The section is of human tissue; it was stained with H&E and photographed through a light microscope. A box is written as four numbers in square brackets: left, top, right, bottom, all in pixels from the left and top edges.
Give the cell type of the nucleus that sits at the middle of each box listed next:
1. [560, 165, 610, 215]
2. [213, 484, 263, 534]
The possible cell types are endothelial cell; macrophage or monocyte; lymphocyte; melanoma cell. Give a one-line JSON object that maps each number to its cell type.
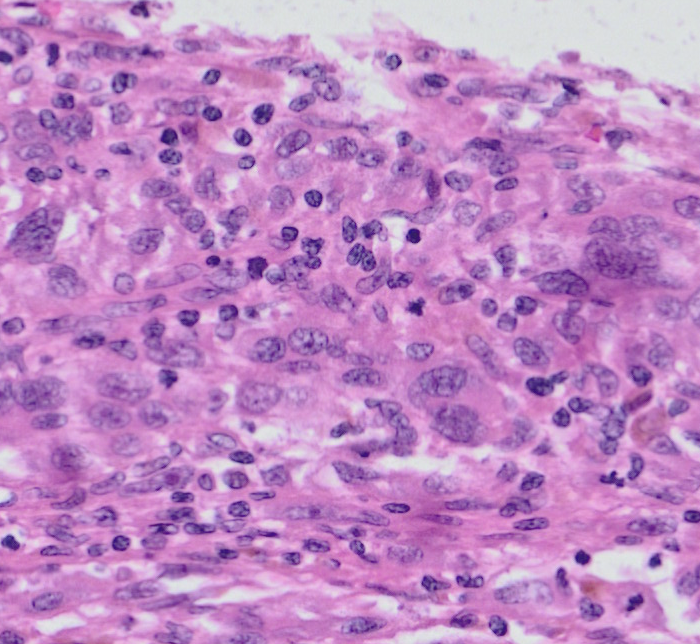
{"1": "melanoma cell", "2": "lymphocyte"}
